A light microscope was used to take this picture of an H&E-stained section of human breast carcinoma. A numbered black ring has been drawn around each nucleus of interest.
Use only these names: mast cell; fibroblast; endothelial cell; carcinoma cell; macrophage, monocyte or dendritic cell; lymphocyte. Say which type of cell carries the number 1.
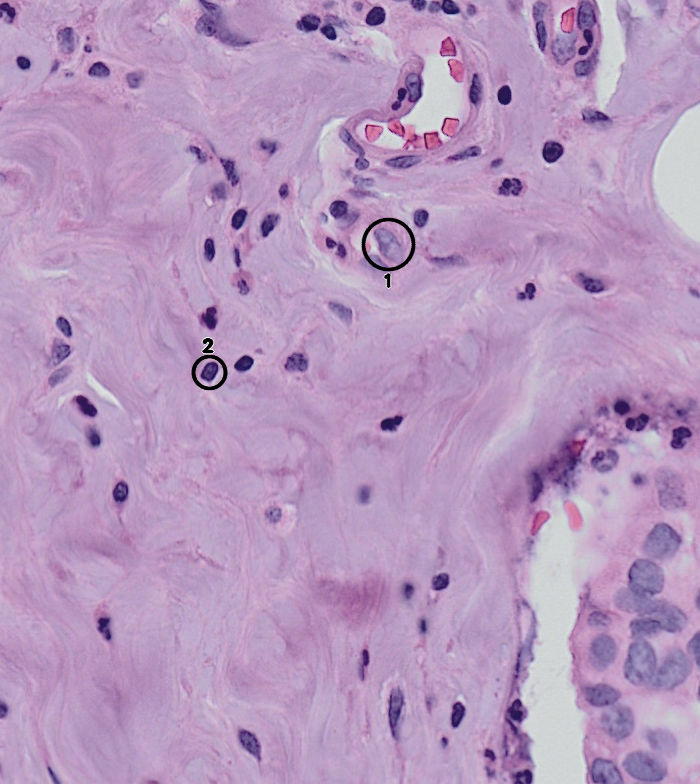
endothelial cell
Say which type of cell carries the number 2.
lymphocyte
